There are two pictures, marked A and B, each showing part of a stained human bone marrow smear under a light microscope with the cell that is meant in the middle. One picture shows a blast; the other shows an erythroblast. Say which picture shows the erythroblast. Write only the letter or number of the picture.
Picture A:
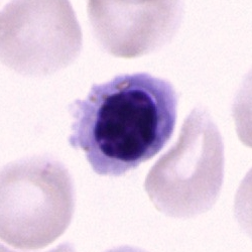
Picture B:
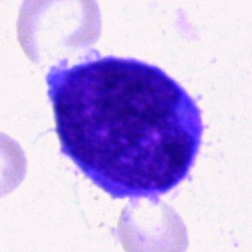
A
